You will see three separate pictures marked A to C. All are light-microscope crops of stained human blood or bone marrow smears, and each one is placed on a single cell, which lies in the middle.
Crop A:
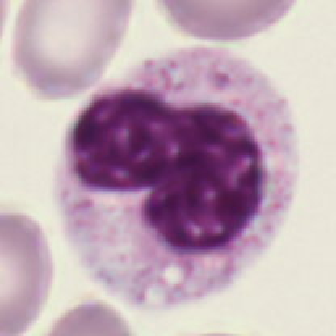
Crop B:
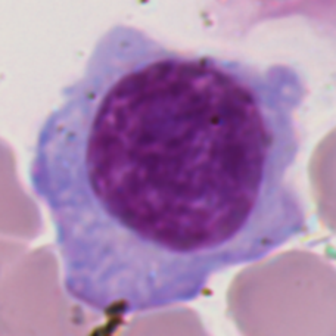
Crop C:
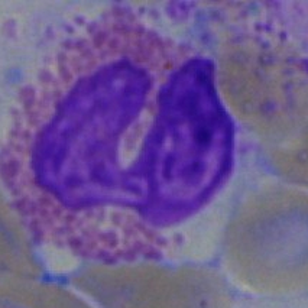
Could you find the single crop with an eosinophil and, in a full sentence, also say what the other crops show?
Here crop C shows an eosinophil, while crop A is a band neutrophil and crop B is a plasma cell.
